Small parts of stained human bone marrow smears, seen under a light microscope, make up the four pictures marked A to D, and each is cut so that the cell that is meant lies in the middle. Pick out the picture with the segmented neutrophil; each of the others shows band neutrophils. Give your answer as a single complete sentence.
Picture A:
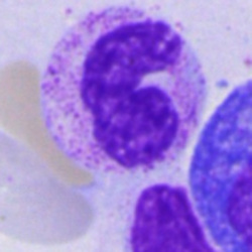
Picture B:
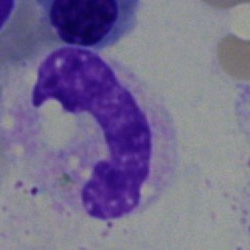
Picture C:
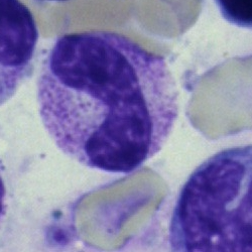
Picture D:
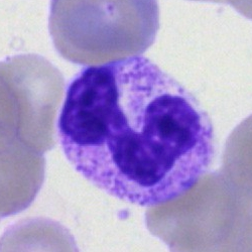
Picture A shows the segmented neutrophil.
